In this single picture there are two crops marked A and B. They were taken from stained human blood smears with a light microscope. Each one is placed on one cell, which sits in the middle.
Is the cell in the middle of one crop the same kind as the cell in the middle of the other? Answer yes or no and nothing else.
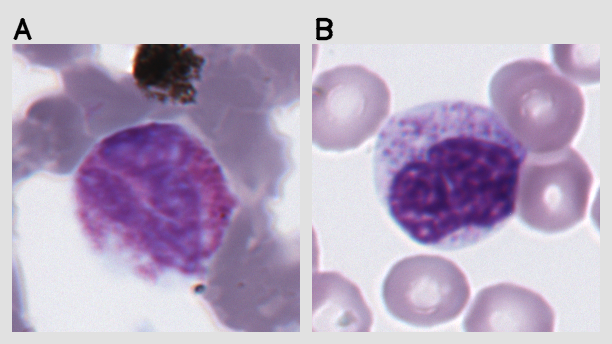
no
